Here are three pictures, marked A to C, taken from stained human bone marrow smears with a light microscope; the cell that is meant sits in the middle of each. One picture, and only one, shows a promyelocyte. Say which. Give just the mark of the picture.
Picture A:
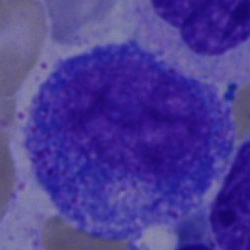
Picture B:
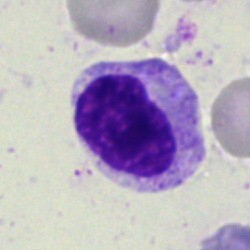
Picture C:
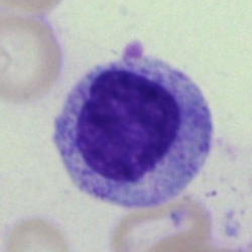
A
